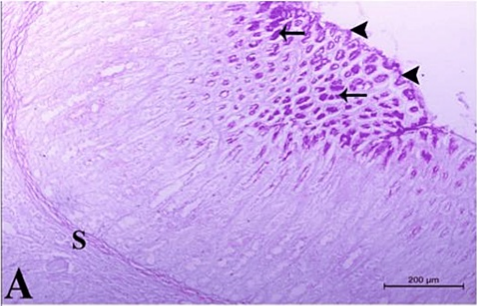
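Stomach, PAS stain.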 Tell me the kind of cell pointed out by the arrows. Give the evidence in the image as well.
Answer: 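The arrows point to deeply magenta-stained cells in the upper part of the glands. The stained cells lie near the luminal surface, with paler glands deeper down.
Answer: mucous secretory cells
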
